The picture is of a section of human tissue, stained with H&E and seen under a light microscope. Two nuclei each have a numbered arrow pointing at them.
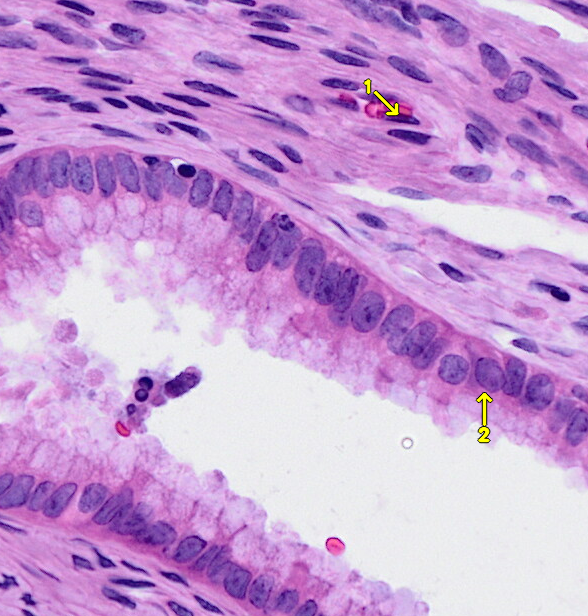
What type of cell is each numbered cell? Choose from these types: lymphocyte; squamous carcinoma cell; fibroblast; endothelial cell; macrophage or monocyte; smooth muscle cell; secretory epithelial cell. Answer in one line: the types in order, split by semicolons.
endothelial cell; secretory epithelial cell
